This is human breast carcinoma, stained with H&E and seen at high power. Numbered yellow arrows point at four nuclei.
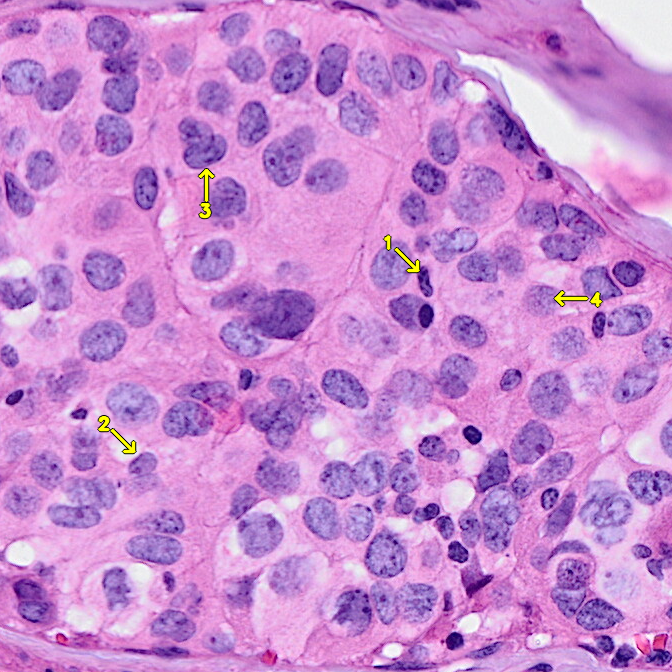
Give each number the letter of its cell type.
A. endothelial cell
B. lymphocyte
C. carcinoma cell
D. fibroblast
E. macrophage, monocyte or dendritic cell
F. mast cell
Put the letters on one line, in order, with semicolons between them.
B; C; C; C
